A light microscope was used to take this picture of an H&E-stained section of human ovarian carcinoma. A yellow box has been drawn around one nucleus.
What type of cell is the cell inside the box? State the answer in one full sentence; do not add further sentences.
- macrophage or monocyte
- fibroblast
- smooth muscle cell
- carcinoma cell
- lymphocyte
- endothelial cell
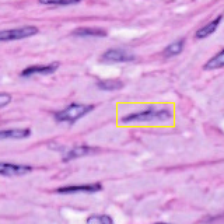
Within the stained tissue, the cell inside the box is a fibroblast.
